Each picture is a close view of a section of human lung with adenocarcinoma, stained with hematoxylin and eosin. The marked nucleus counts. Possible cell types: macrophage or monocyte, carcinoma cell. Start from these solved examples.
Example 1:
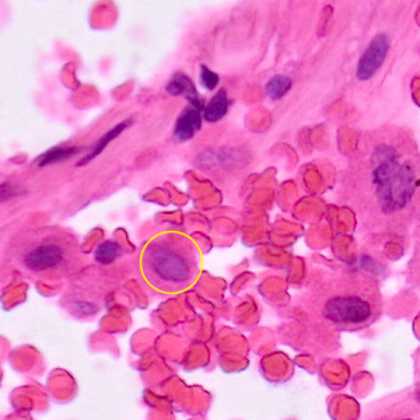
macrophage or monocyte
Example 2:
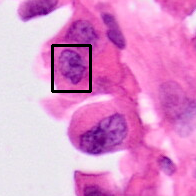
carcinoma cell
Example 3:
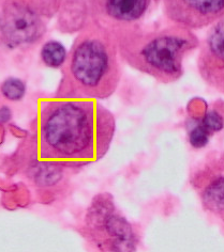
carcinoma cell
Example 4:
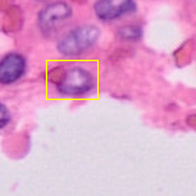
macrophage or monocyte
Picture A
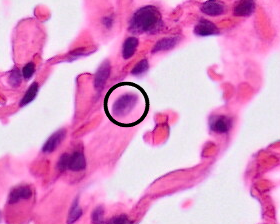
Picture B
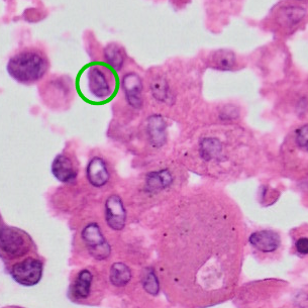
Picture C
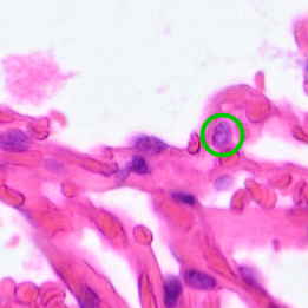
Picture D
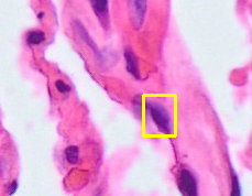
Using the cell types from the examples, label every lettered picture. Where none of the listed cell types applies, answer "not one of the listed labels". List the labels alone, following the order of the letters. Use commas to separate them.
not one of the listed labels, macrophage or monocyte, not one of the listed labels, not one of the listed labels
